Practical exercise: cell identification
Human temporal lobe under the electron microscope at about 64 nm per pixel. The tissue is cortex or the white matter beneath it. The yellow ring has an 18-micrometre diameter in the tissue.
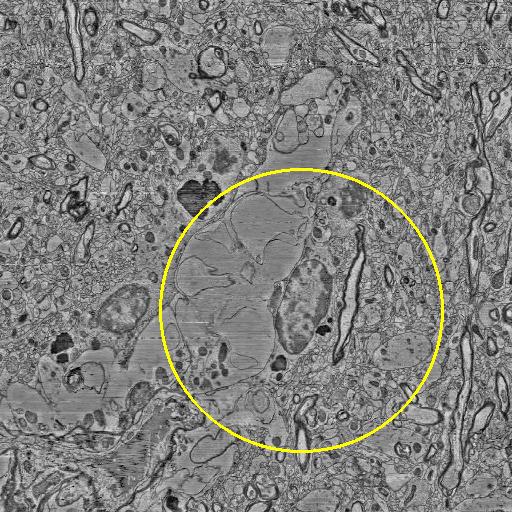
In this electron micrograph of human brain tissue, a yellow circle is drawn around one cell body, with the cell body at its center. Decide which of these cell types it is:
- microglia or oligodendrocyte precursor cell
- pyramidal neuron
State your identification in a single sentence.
The ringed cell is a microglial cell or oligodendrocyte precursor cell.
